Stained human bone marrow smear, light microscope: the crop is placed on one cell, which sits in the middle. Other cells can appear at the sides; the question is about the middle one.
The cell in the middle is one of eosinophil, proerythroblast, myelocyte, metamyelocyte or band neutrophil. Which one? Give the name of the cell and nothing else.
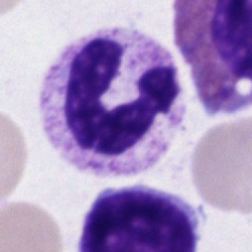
band neutrophil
